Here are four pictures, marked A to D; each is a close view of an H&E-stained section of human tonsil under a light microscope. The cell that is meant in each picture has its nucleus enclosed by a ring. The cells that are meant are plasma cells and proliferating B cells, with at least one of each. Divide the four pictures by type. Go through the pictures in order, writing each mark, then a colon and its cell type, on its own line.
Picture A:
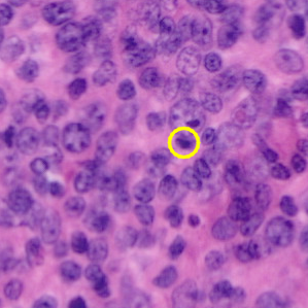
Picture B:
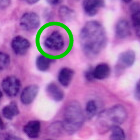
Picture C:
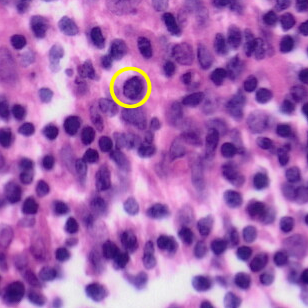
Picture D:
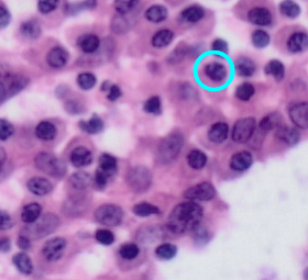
A: proliferating B cell
B: plasma cell
C: proliferating B cell
D: plasma cell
